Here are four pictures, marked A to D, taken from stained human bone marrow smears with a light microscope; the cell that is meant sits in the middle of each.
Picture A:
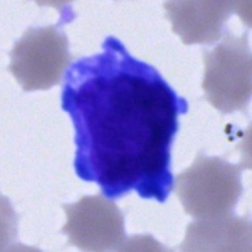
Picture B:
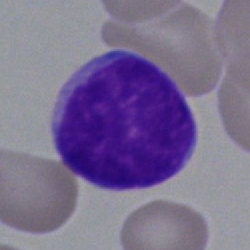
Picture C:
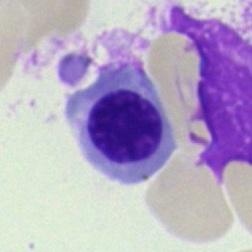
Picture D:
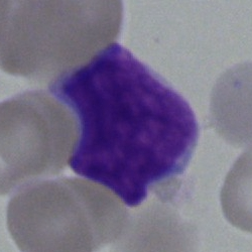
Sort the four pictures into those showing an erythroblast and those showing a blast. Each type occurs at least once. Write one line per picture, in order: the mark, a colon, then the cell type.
A: blast
B: blast
C: erythroblast
D: blast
